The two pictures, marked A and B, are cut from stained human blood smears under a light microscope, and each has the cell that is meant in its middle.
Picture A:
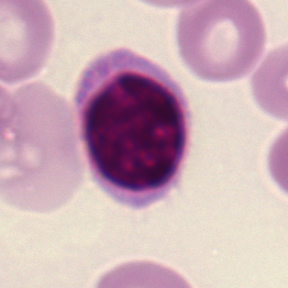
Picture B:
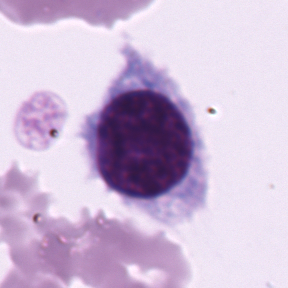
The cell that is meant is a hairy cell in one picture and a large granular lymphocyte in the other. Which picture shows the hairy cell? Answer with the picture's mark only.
B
